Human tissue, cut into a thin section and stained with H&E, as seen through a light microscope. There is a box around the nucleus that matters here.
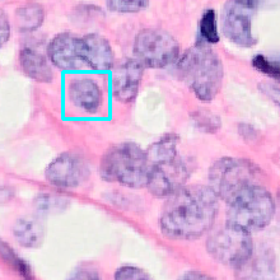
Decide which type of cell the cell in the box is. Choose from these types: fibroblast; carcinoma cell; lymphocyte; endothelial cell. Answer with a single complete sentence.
With respect to cell type, the cell in the box is a carcinoma cell.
